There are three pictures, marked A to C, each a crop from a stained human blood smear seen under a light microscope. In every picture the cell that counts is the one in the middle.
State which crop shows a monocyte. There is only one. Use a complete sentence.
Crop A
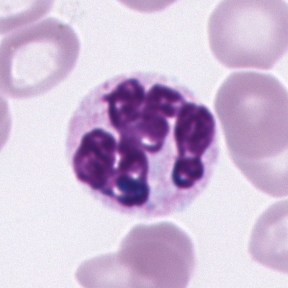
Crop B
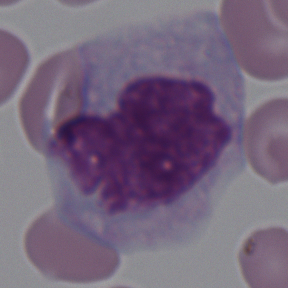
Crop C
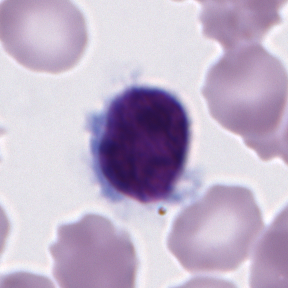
Among all the crops given here, the one with a monocyte is crop B.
